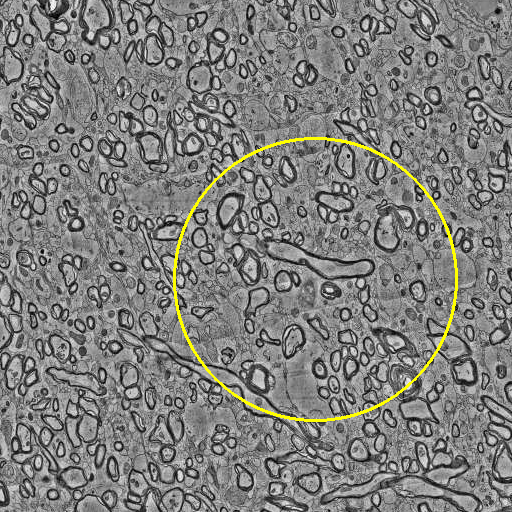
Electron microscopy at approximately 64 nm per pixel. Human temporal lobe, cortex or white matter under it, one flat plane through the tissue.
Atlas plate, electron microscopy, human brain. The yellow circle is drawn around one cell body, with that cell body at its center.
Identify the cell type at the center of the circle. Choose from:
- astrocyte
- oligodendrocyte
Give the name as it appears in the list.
oligodendrocyte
